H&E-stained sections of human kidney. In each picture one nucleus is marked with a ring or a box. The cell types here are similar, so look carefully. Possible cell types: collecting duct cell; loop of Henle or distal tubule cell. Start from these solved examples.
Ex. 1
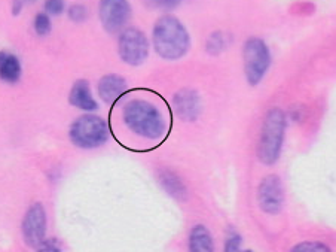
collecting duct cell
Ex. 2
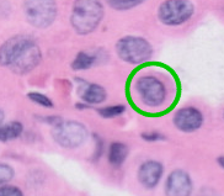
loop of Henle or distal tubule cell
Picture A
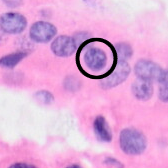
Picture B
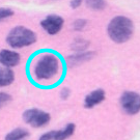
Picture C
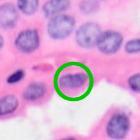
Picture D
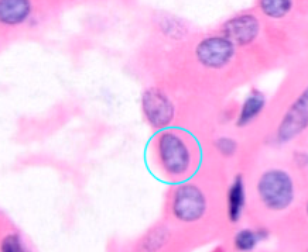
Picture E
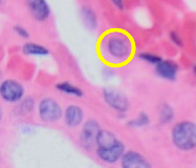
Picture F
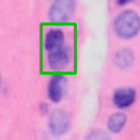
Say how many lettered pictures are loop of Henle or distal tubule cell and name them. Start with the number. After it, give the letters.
3: C, D, E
